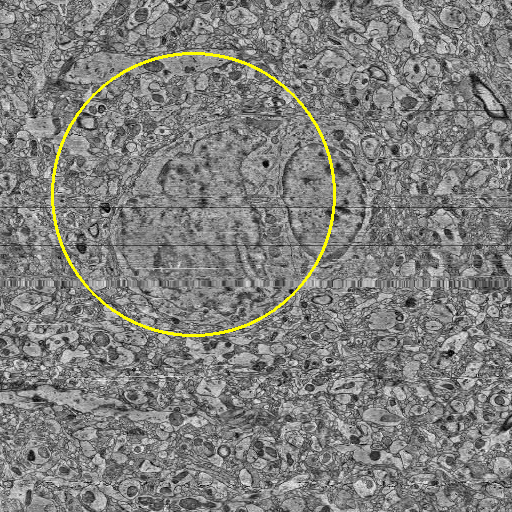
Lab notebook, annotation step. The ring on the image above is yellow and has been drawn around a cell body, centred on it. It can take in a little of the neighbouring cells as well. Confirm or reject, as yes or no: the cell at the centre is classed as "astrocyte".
No, the cell is of another class.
